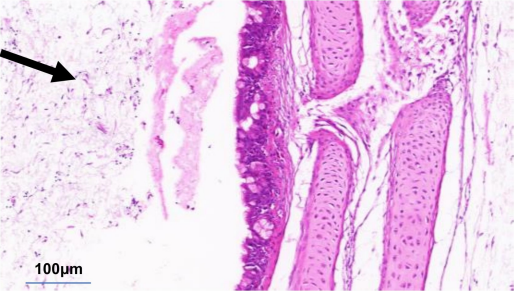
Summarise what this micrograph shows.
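Tracheal wall in cross-section with the lumen on the left. The mucosa is lined by a tall, deeply purple epithelium containing many pale, rounded mucous-filled cells. Beneath it lies a thin loose connective tissue layer, then plates of pink hyaline cartilage with small chondrocytes sitting in lacunae, and loose outer connective tissue on the right. The lumen is not clear: it holds a loose, pale pink-violet fibrillar material with scattered small dark dots consistent with exudate and cells, and a separate detached pink strip lies close to the epithelial surface.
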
